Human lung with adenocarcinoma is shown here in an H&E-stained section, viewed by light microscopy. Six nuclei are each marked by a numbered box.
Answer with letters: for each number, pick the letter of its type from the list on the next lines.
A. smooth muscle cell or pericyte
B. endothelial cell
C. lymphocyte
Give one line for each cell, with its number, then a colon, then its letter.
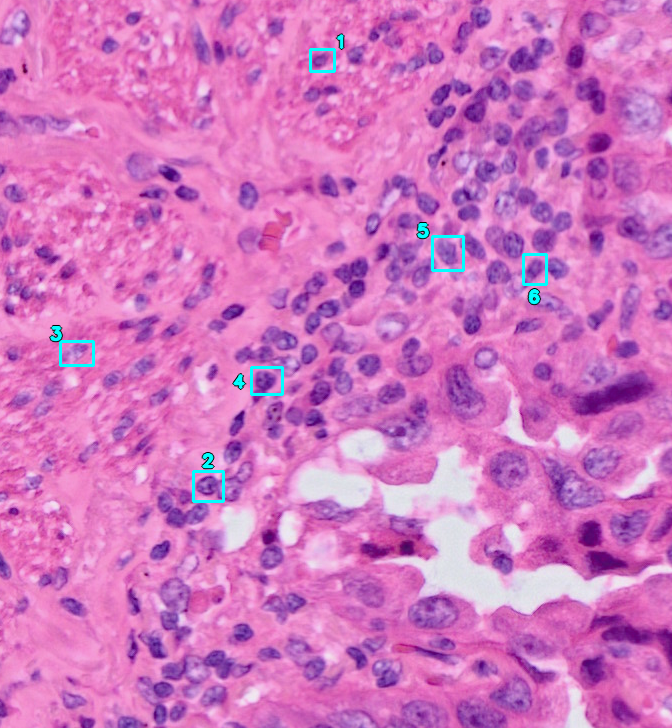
1: A
2: C
3: A
4: C
5: C
6: C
